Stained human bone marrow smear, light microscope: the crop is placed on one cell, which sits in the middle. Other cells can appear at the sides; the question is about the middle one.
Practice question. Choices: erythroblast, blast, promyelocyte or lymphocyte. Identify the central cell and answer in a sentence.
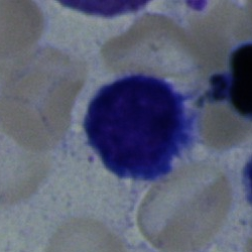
The cell under consideration, at the middle of the crop, is a lymphocyte.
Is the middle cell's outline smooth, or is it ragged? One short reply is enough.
An uneven margin is present, with either ragged stretches or outward projections.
